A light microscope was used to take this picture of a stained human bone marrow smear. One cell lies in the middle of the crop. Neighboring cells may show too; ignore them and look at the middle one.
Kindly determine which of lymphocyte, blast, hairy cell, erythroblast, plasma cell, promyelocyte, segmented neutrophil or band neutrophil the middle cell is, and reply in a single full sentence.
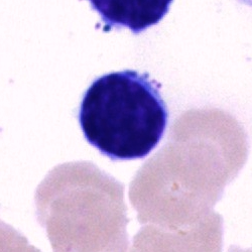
Regarding the central cell, it is a lymphocyte.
